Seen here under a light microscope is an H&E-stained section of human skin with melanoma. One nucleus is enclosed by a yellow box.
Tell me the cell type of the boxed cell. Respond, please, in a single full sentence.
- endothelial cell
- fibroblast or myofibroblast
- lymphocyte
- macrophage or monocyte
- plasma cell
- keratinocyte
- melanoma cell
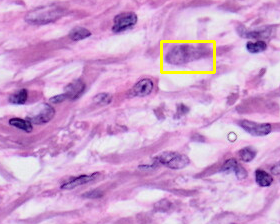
Within this tissue, the boxed cell is a fibroblast or myofibroblast.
